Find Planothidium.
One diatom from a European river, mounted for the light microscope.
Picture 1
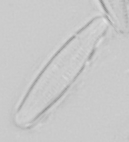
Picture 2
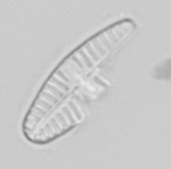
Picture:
2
